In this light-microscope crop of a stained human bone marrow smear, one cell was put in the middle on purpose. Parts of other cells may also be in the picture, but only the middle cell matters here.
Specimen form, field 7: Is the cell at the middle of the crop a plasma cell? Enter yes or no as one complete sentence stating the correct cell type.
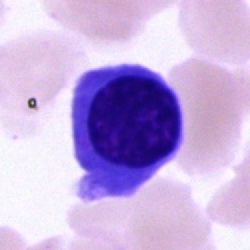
Yes, a plasma cell is present in the middle of the crop.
